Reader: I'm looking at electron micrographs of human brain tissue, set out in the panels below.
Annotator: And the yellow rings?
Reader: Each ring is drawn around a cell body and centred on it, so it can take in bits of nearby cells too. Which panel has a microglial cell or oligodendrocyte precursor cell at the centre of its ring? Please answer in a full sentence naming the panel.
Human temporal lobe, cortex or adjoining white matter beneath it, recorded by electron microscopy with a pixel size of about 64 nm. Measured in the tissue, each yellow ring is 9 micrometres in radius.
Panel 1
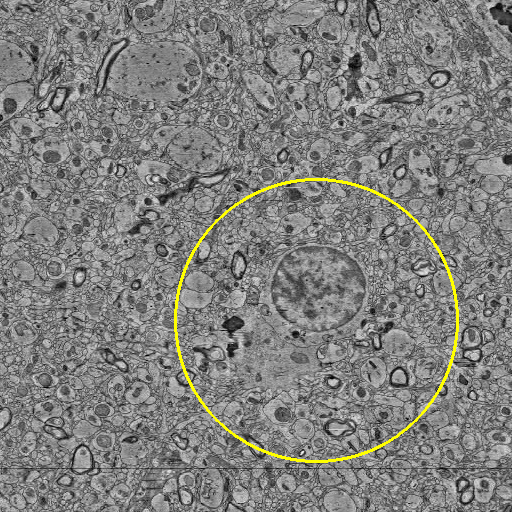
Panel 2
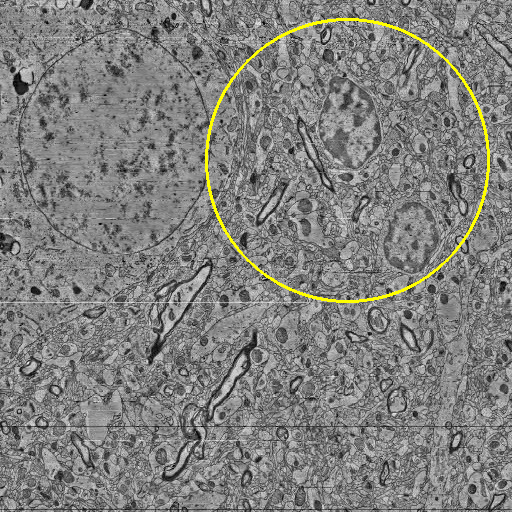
Panel 2 has it at the centre of its ring.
